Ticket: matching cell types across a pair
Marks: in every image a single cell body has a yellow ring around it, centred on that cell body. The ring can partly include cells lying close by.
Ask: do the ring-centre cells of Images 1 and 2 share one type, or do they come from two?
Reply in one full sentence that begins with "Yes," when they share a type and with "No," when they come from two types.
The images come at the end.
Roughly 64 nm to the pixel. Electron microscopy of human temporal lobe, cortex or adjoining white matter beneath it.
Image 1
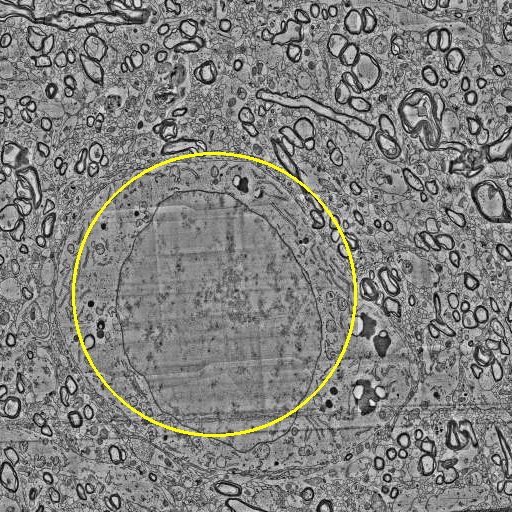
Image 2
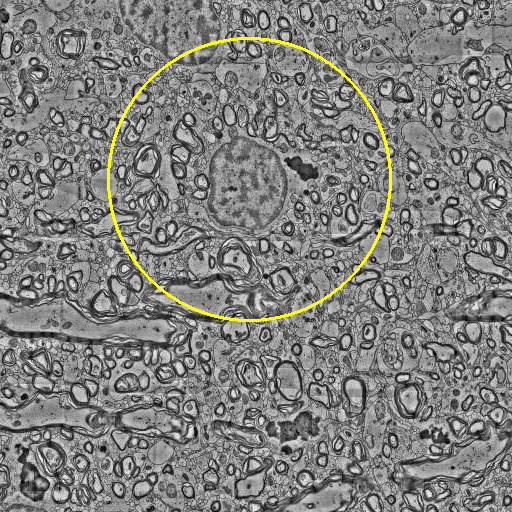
No, the cells in the centres of the rings in Image 1 and Image 2 come from two types.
